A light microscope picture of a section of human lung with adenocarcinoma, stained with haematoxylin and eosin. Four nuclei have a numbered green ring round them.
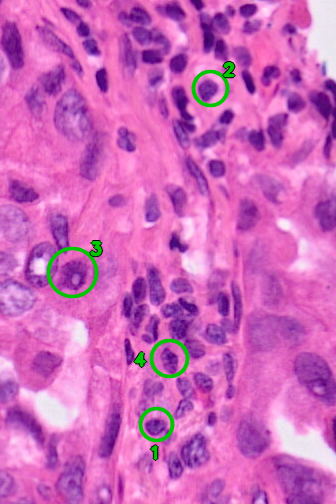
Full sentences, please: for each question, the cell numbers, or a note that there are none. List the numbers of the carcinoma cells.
There is only one numbered cell that is a carcinoma cell, and it is cell 3.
